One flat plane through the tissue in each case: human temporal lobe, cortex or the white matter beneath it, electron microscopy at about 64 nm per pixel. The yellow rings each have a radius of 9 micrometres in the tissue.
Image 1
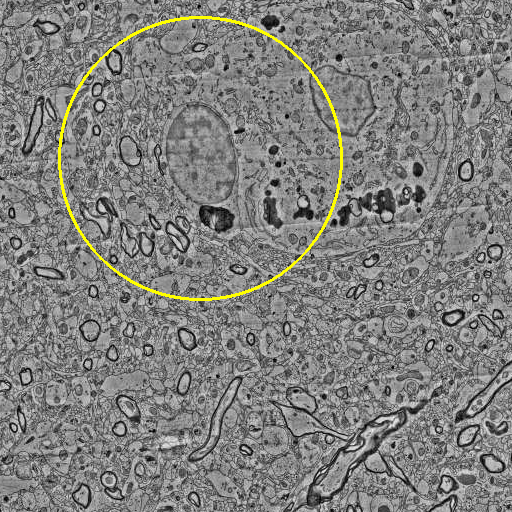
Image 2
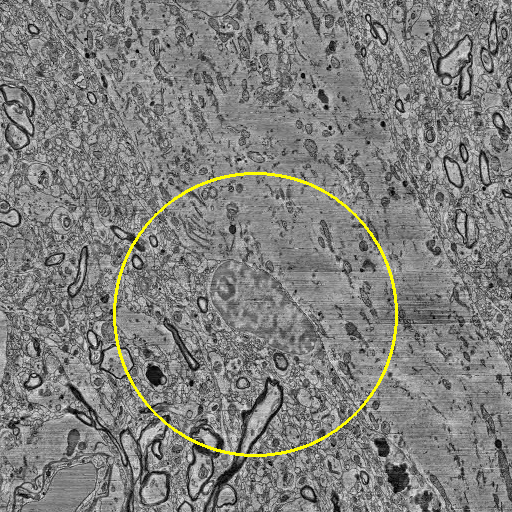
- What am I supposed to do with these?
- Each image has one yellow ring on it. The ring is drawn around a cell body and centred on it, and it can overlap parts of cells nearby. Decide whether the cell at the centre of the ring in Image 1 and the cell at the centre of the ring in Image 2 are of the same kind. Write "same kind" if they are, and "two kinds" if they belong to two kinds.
same kind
